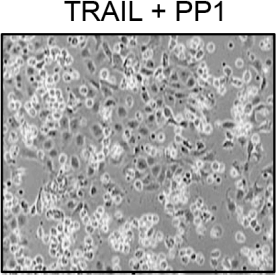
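This is a phase contrast view of a cultured monolayer in which many cells have become small, rounded and refractile, with bright halos around them. Between these lie flattened, spread cells with polygonal or spindle outlines that still adhere to the dish. The layer is no longer confluent, with patches of empty substrate between the clusters of cells. The mix of rounded and spread cells fits a culture in which only part of the cells have undergone apoptosis.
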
